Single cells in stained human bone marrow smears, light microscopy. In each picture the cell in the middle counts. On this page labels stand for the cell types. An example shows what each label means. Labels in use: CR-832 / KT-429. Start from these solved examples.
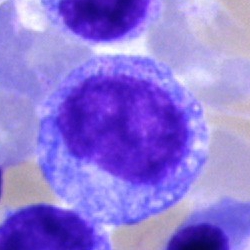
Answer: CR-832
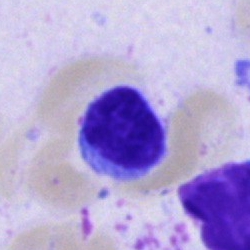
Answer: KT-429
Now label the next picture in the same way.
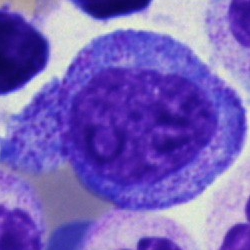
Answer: CR-832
